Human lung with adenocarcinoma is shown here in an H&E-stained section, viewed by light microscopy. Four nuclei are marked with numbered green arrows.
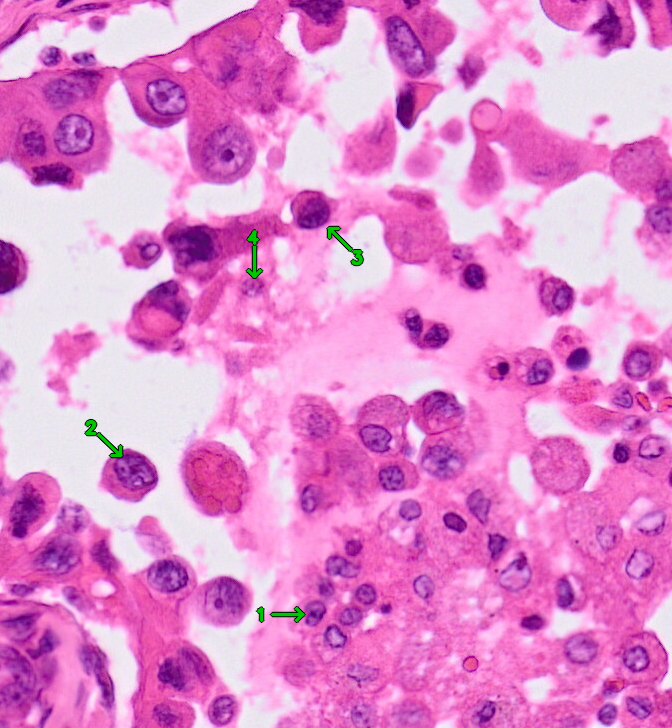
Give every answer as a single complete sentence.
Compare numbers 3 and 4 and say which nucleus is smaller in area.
With nucleus 3 about 2 times its size, nucleus 4 is the smaller of the two.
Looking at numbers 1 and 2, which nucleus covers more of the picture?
Of the two, number 2 is bigger and takes up about 2.5 times the area of number 1.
